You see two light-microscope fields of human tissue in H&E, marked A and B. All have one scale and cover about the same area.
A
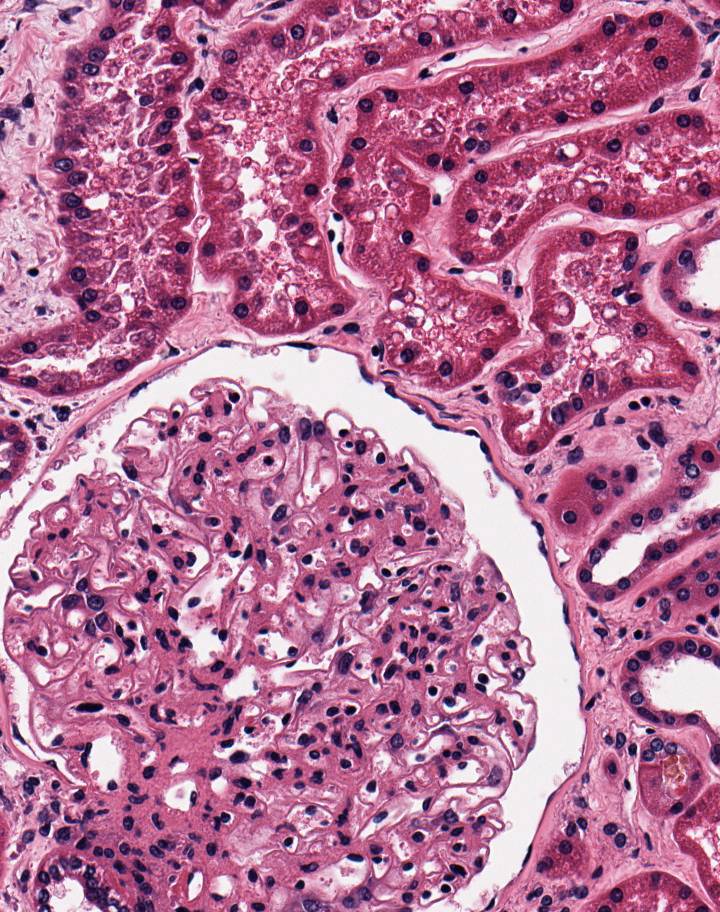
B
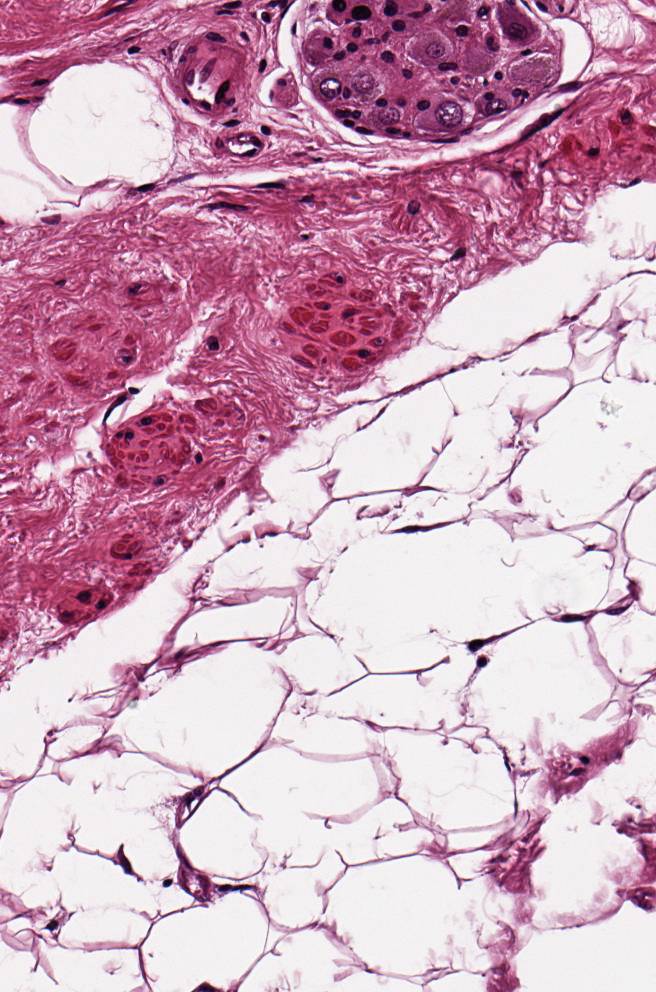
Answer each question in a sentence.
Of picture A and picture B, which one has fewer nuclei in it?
Picture B holds fewer nuclei than picture A.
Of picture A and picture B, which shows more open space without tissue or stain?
Picture B has more white space.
